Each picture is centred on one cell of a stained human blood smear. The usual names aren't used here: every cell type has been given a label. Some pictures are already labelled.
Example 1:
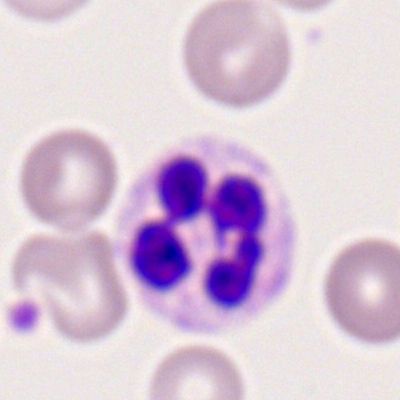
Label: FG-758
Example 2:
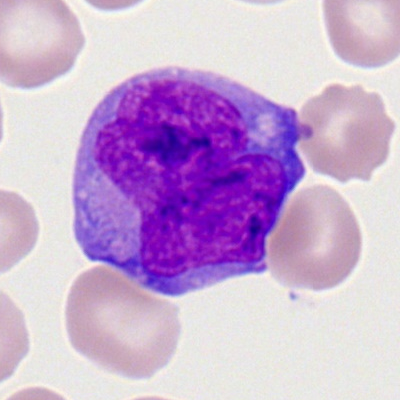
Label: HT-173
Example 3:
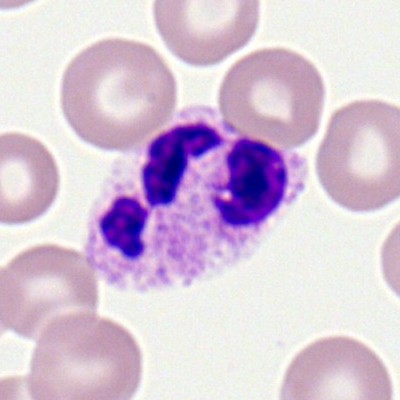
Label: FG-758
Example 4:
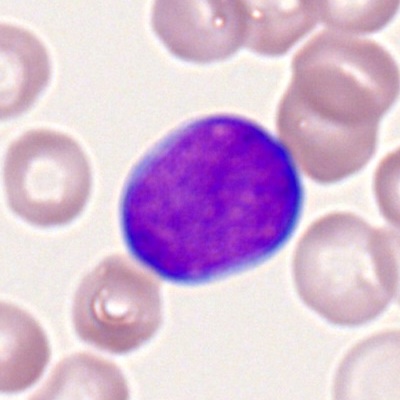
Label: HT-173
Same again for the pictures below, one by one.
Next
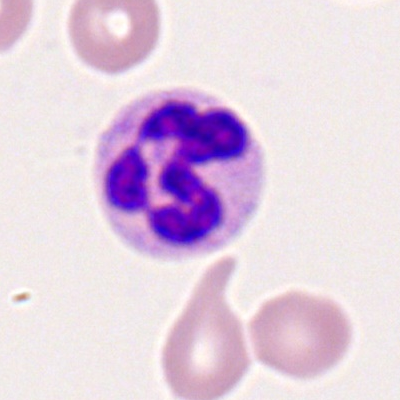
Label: FG-758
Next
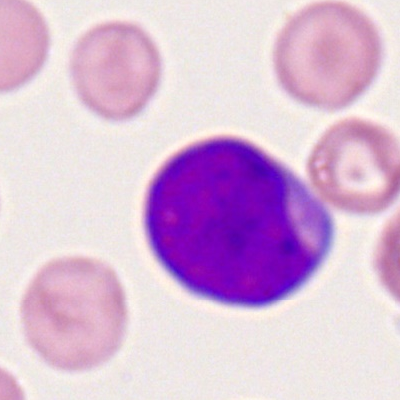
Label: HT-173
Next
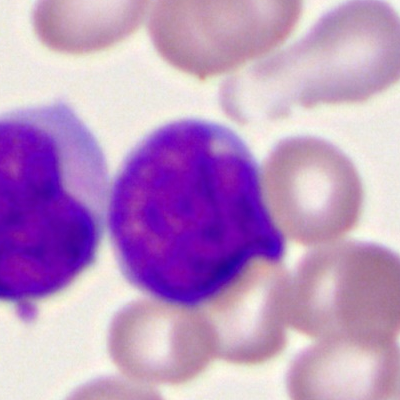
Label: HT-173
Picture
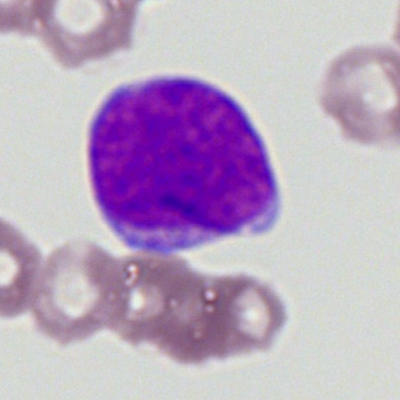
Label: HT-173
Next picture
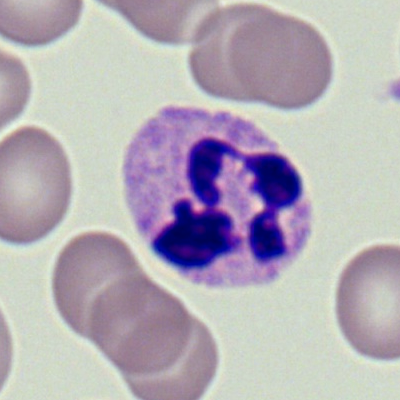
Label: FG-758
